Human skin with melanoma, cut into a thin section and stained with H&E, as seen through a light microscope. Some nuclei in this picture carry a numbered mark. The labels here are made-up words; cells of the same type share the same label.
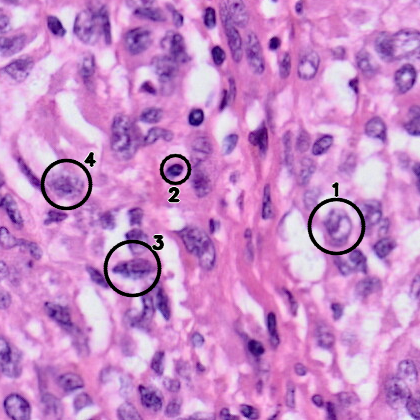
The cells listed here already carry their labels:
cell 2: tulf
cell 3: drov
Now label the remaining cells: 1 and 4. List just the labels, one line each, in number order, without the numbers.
drov
drov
